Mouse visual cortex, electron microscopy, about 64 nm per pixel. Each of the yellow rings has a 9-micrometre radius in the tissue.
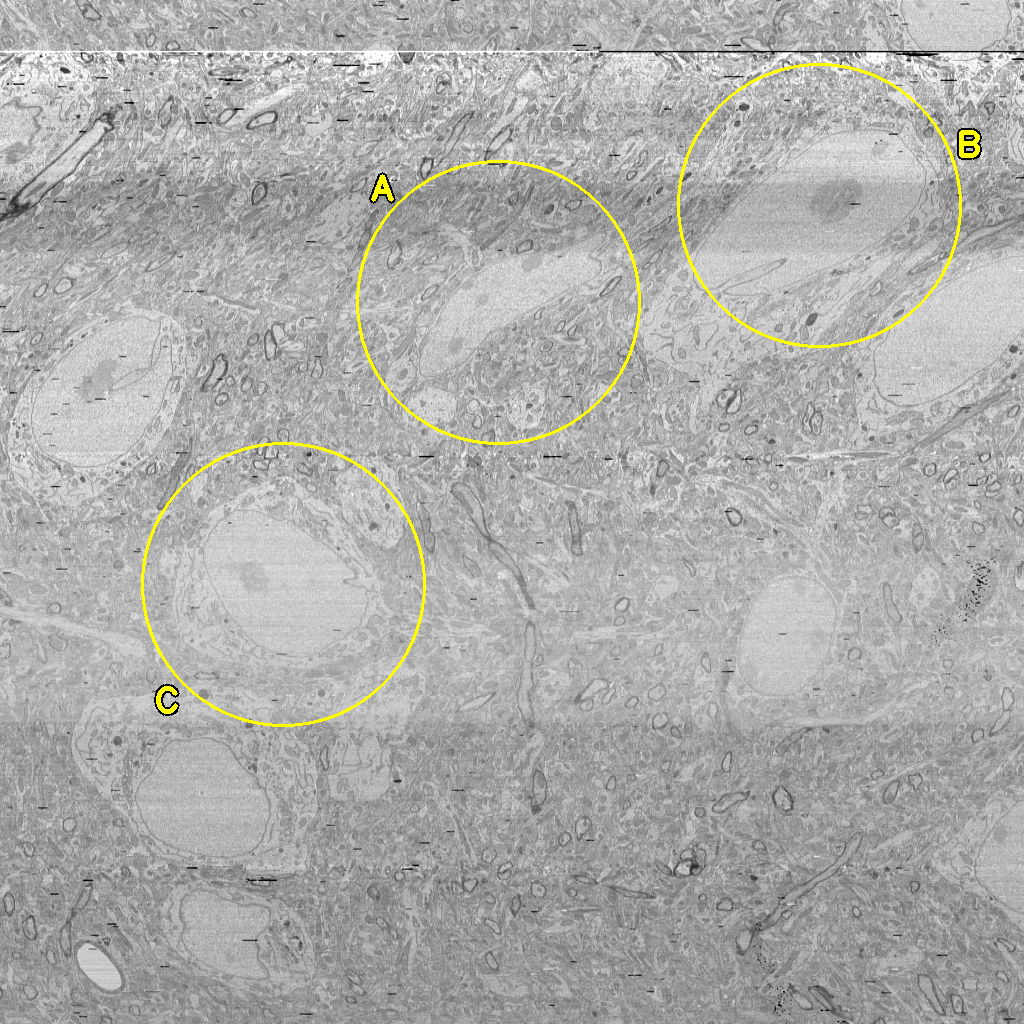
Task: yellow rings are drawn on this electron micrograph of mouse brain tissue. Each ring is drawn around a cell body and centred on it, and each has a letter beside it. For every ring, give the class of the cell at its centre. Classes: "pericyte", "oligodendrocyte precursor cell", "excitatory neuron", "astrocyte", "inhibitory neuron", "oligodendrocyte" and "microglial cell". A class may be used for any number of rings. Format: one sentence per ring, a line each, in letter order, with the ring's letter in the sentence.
The cell ringed as A is an oligodendrocyte precursor cell.
The cell ringed as B is an excitatory neuron.
The cell ringed as C is an inhibitory neuron.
